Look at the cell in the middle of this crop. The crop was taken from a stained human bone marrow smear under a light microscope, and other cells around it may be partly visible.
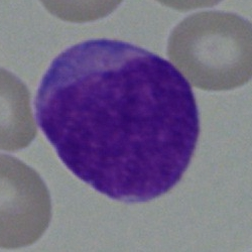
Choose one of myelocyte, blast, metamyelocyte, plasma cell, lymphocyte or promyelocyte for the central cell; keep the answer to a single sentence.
Whatever else lies nearby, the middle cell is a blast.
